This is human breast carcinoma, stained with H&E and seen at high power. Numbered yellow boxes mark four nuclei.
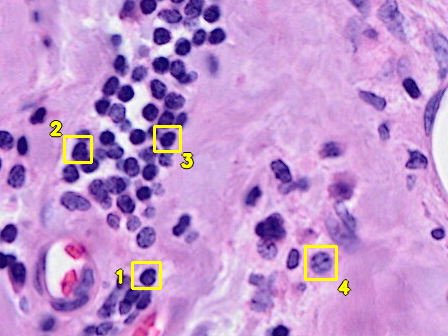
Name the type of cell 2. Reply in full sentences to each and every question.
The cell referred to as 2 is a lymphocyte.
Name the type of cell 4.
Cell 4 in the field is a mast cell.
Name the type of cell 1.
Cell 1 of the marked set is a lymphocyte.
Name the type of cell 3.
The numbered cell 3 is identified here as a lymphocyte.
